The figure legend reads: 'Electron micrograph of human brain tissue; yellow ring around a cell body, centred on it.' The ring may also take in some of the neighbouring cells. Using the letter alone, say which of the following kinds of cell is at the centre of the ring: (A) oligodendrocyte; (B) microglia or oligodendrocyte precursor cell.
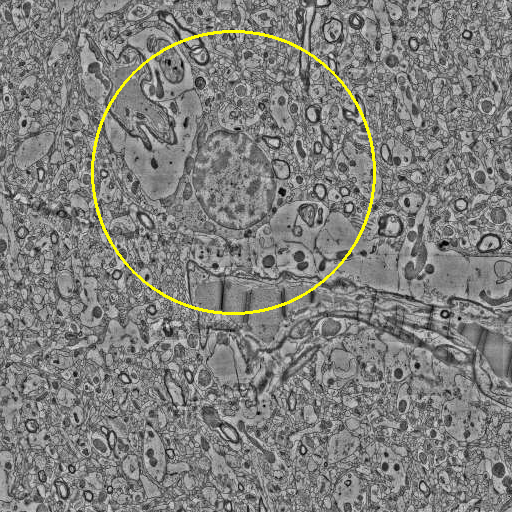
A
